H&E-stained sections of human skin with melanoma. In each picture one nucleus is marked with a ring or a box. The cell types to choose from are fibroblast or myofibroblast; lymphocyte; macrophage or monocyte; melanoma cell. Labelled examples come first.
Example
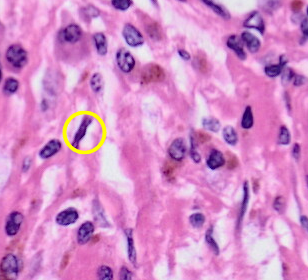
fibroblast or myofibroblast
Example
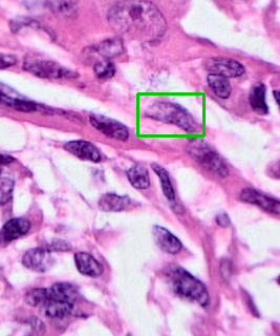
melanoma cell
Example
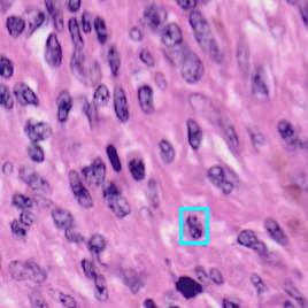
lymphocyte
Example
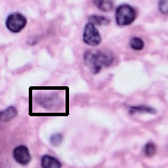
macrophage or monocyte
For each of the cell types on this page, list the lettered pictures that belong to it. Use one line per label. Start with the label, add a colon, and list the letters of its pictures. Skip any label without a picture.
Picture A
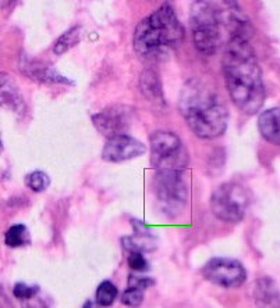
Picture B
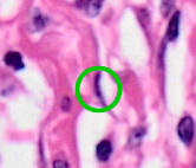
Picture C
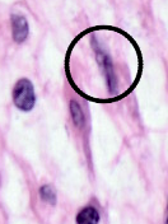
fibroblast or myofibroblast: B, C
melanoma cell: A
